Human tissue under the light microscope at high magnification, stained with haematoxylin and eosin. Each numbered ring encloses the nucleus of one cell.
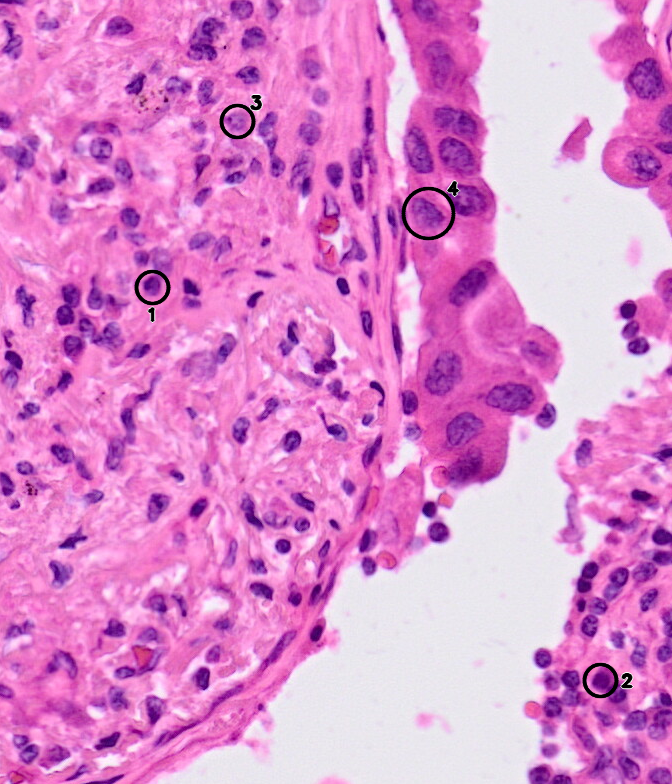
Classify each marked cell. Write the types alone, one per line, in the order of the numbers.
lymphocyte
plasma cell
plasma cell
carcinoma cell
